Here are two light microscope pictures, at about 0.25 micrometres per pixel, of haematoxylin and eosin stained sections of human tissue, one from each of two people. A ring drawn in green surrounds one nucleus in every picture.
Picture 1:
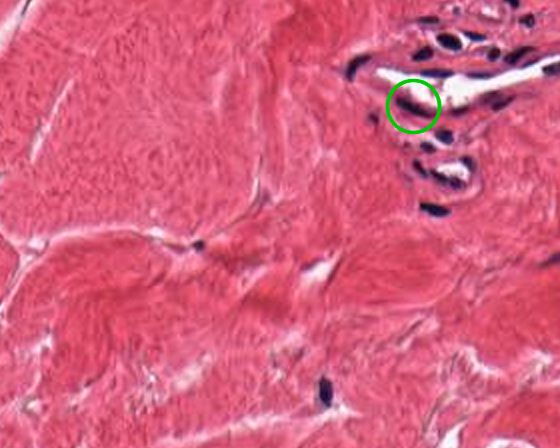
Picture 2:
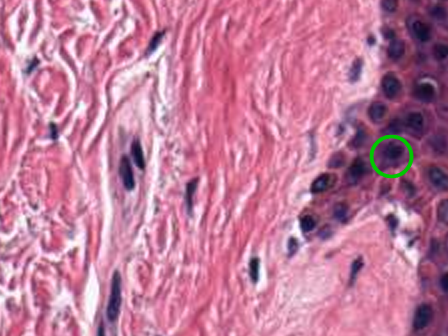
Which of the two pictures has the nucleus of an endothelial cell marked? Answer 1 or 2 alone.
1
